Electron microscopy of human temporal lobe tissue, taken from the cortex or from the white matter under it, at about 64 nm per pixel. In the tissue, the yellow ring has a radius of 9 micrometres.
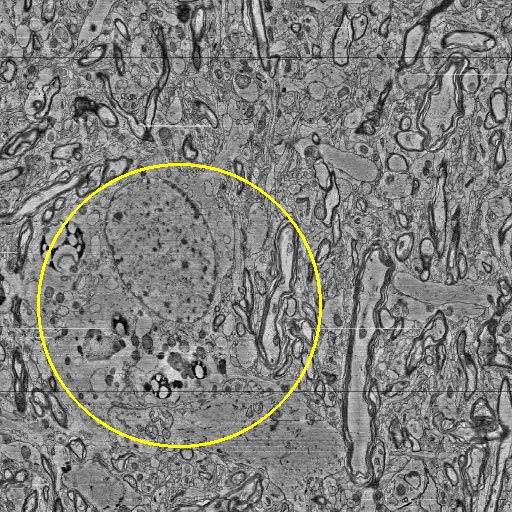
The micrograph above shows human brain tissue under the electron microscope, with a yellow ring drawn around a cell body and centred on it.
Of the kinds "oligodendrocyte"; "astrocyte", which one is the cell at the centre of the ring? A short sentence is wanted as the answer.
The one at the centre of the ring is an astrocyte.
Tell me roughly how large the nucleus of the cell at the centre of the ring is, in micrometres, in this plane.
In this plane the nucleus measures about 10 by 7 micrometres and is clearly longer than it is wide.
